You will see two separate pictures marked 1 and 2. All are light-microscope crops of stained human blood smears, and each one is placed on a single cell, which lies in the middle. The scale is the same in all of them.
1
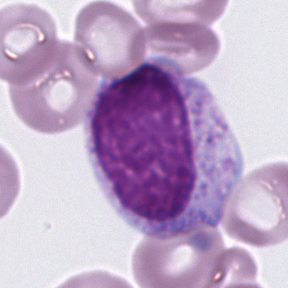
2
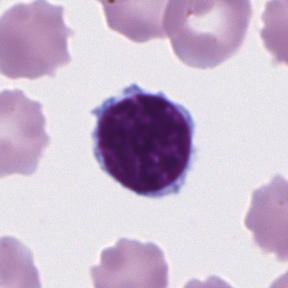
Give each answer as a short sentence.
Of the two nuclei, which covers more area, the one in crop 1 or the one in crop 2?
Larger is the nucleus in crop 1, at roughly 2 times the area of the other.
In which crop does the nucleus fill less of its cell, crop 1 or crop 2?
In crop 1 the nucleus takes up the smaller part of its cell.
